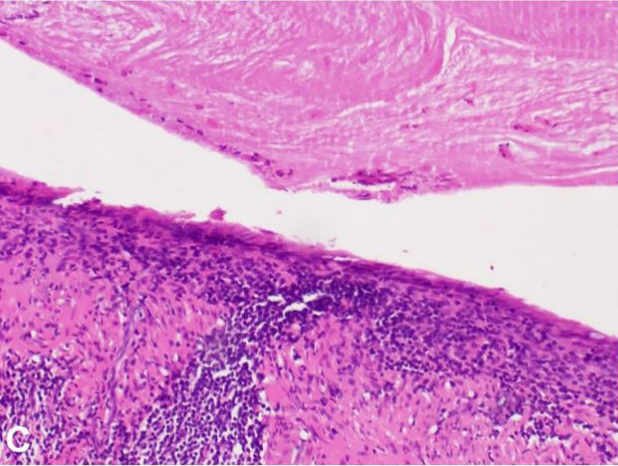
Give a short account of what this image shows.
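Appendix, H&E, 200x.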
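This shows the wall of a lumen filled by mucin, with the underlying tissue below. The upper part is occupied by pale pink, largely acellular material with a streaming, layered texture and only a few scattered cells. A clear gap separates it from the tissue beneath. The lower tissue has a flattened surface without recognisable glands, and beneath it lies a dense band of small, round, dark-staining cells resembling lymphoid tissue, merging into pinker, more fibrous stroma at the lower left.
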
